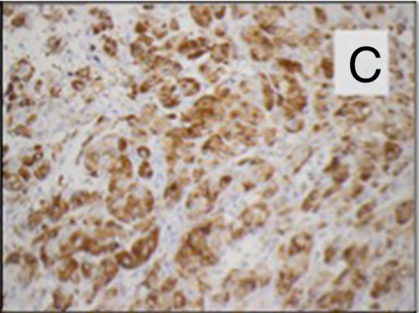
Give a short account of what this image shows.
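The cells form nests and clusters of varying size. Between the nests lies pale, unstained stroma with scattered small blue nuclei. Within the nests the brown colour fills the cell bodies, with nuclei seen as paler spots.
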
